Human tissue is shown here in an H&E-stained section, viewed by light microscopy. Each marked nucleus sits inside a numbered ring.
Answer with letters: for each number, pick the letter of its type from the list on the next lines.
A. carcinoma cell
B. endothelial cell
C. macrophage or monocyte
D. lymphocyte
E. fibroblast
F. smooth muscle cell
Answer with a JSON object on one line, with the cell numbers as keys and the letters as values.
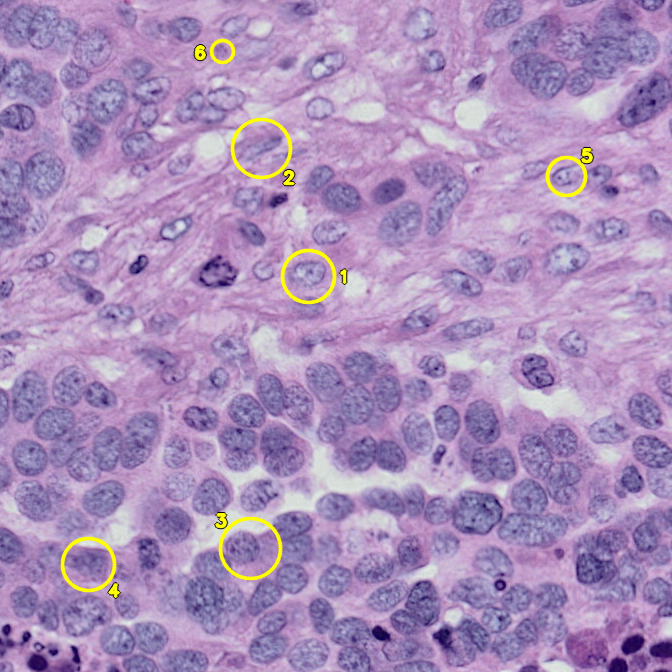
{"1": "E", "2": "E", "3": "A", "4": "A", "5": "E", "6": "E"}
